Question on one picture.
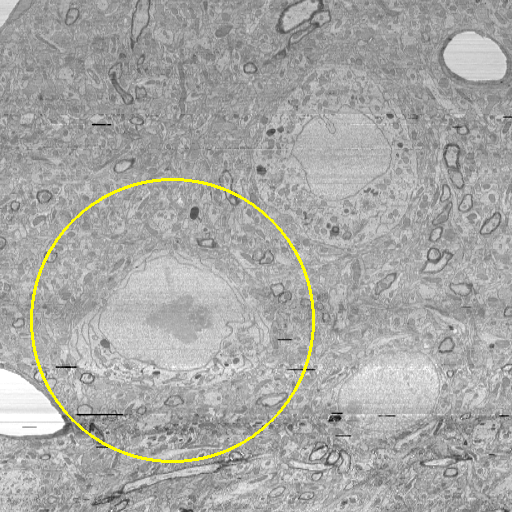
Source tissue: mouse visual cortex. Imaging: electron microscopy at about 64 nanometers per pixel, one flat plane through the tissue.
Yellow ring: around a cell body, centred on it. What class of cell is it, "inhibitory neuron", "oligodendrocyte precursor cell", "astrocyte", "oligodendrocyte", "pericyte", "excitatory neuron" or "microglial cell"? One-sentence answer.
This is an inhibitory neuron, the cell the ring is centred on.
